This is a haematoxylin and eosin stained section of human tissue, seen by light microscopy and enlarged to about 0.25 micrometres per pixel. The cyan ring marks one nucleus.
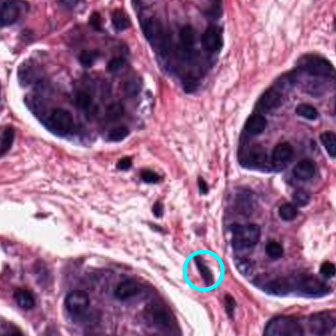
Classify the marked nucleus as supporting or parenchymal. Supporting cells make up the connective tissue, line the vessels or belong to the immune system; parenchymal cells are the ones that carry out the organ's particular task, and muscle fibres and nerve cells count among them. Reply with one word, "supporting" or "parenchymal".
supporting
